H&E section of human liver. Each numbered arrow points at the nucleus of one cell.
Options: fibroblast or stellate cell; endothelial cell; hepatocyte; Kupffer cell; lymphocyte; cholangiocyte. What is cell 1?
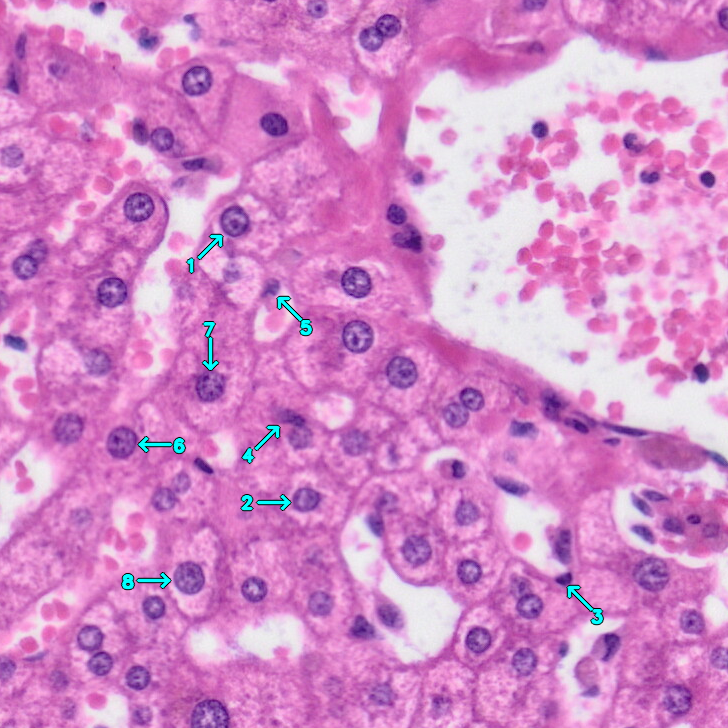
hepatocyte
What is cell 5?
Kupffer cell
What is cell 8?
hepatocyte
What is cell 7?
hepatocyte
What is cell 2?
hepatocyte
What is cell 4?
fibroblast or stellate cell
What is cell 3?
fibroblast or stellate cell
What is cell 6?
hepatocyte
